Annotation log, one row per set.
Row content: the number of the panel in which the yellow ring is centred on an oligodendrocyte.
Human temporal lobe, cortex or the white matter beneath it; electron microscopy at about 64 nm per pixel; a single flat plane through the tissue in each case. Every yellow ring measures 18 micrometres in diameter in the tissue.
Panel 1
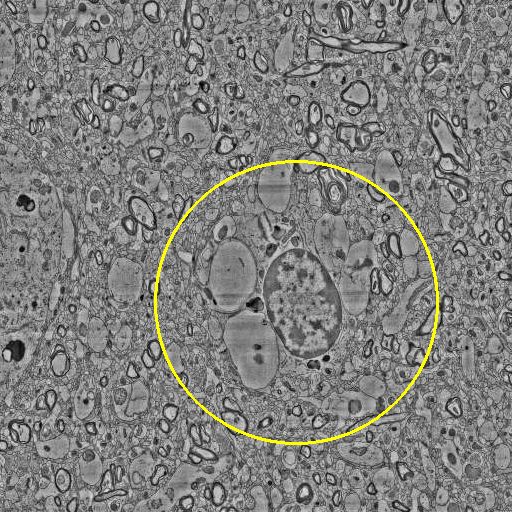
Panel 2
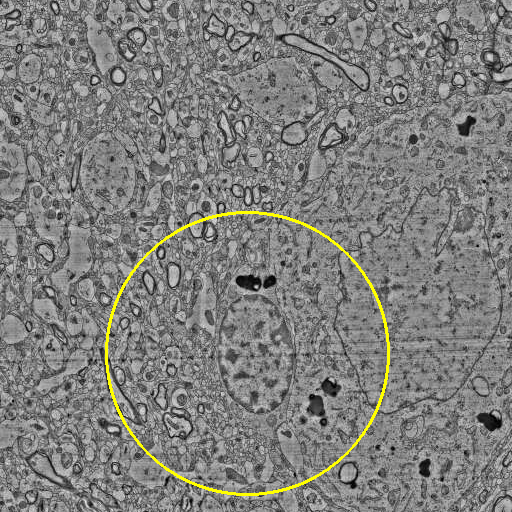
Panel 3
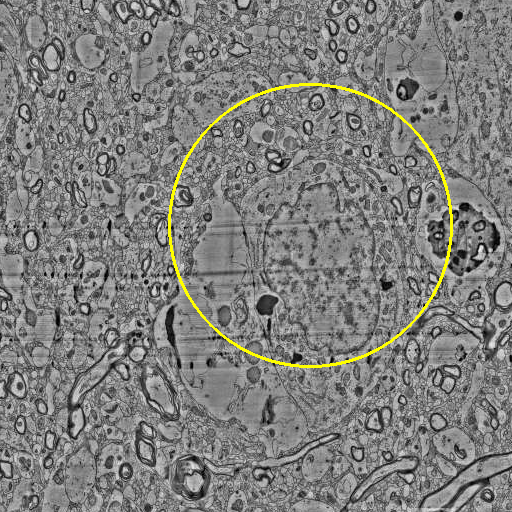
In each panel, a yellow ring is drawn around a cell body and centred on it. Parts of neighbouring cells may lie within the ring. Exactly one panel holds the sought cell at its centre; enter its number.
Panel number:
2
